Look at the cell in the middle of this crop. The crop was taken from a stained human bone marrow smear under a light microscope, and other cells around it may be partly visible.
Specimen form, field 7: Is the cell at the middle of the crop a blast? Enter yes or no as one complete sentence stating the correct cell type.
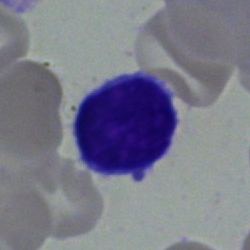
No, it is a lymphocyte that sits in the middle, not a blast.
